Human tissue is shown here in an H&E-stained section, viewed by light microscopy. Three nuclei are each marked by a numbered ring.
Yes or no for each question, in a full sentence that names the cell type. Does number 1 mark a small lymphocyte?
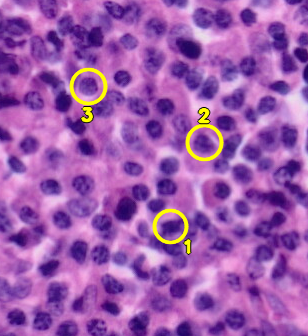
Yes, the cell tagged with the number 1 is a small lymphocyte.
